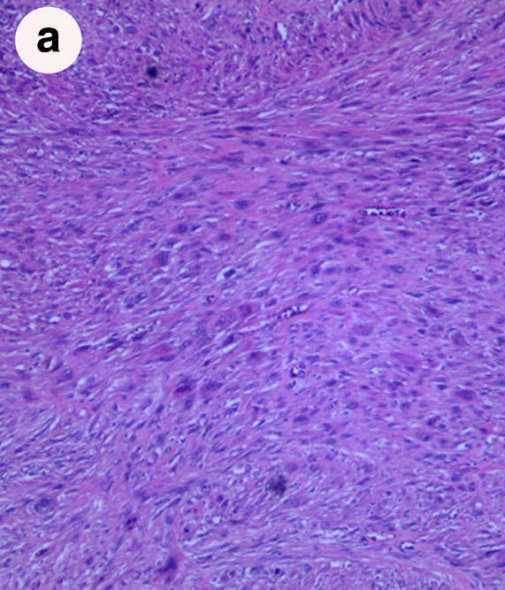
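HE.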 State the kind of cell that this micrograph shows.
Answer: Spindle cells.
